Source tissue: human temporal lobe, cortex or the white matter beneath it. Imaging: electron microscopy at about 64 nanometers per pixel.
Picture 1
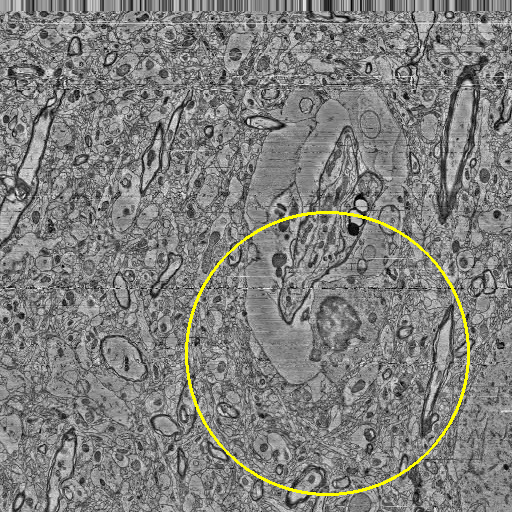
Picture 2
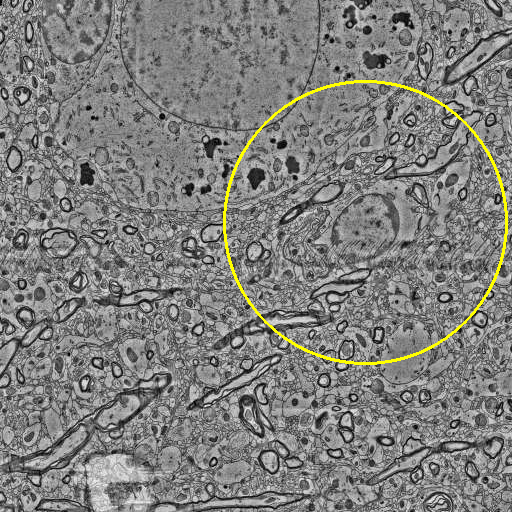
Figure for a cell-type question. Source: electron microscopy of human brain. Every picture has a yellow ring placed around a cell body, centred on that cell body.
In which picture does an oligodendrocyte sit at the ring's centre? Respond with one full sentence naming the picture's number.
The cell in the middle of the ring in picture 1 is the one sought.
